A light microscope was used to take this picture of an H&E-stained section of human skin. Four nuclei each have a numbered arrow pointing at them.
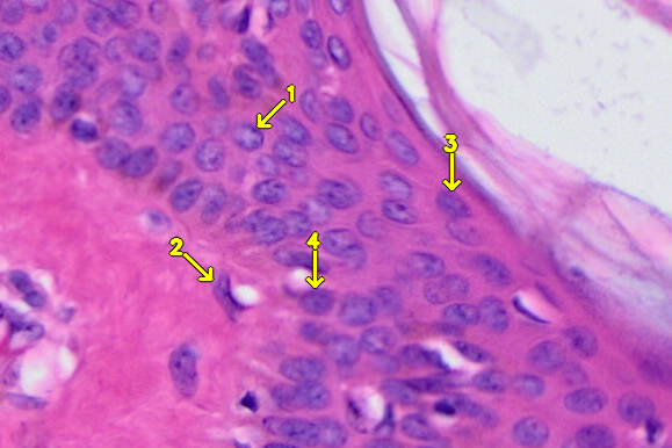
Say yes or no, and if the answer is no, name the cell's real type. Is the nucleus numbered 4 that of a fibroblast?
No, it is a basal keratinocyte.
